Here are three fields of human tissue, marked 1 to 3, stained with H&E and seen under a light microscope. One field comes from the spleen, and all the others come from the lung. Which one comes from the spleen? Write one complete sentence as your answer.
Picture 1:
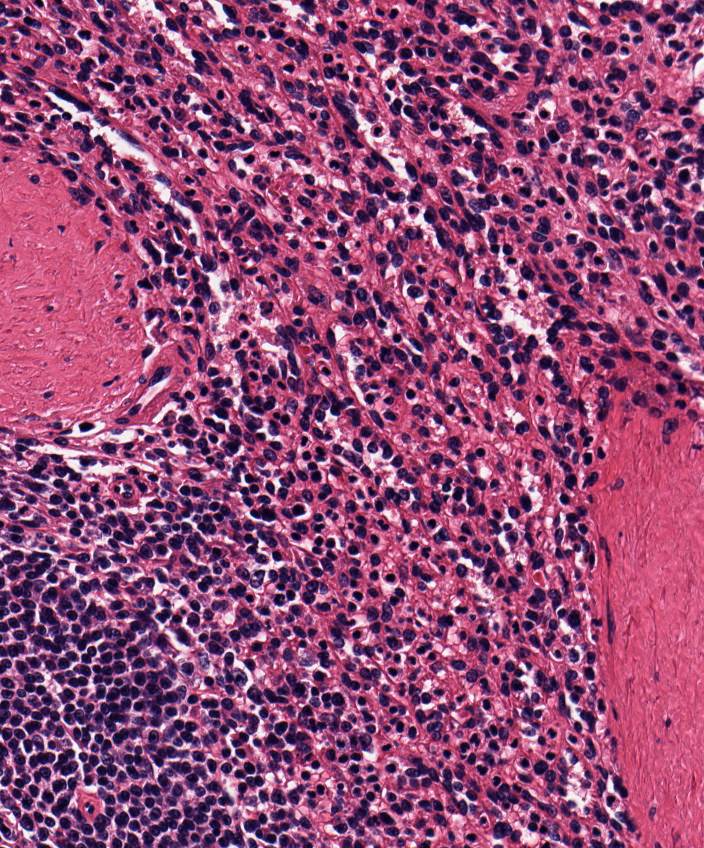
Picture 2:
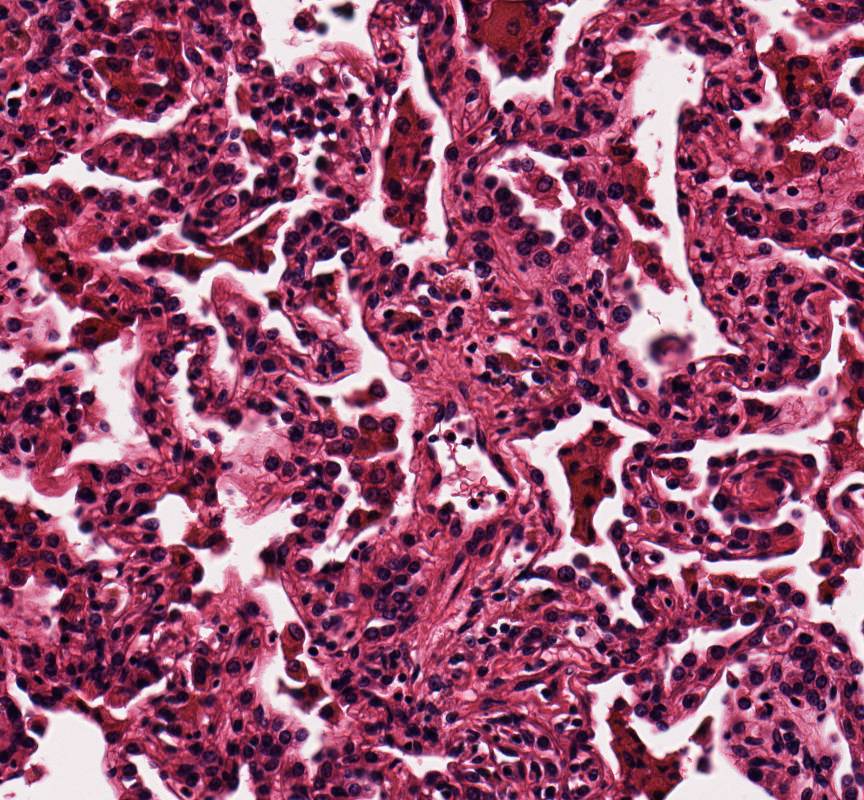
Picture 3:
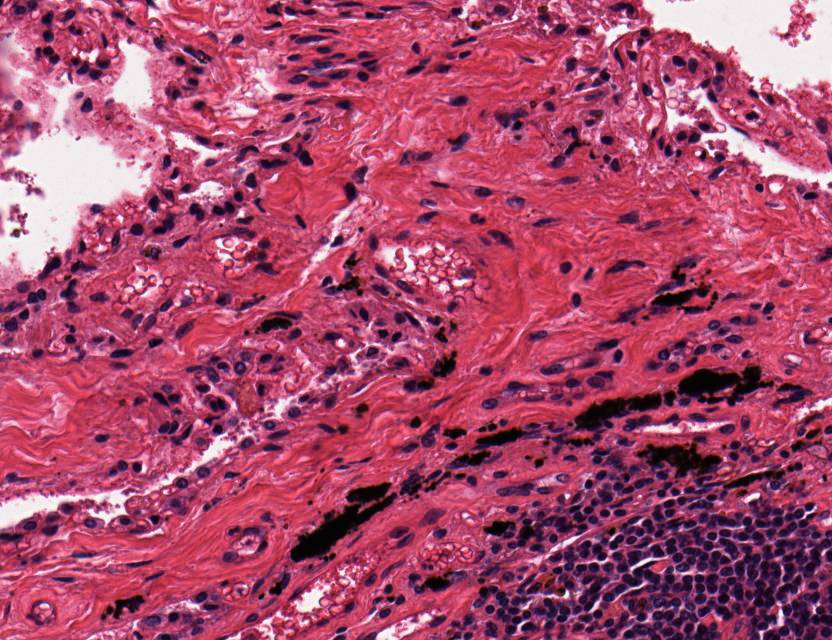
The one that comes from the spleen is picture 1.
